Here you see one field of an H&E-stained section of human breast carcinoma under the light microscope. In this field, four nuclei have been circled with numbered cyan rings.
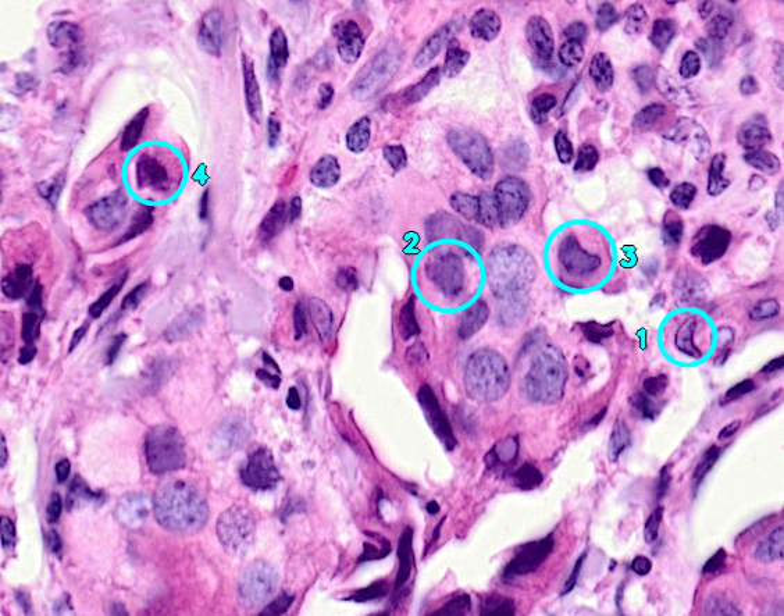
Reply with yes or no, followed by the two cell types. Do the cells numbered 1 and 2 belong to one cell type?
No, cell 1 is an endothelial cell and cell 2 is a carcinoma cell.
